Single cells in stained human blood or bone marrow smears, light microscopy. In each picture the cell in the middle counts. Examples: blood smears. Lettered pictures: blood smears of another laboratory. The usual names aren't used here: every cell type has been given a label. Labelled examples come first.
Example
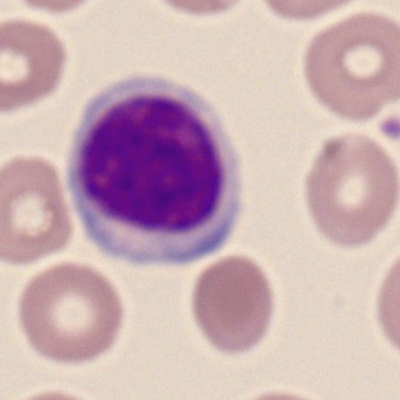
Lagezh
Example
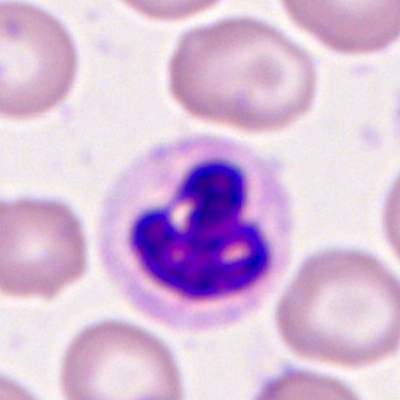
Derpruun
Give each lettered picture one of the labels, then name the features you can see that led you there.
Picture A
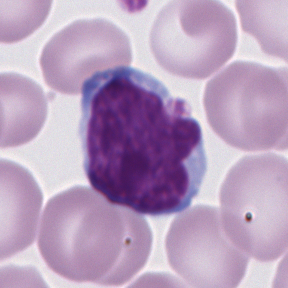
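Lagezh. The cytoplasm forms only a narrow pale blue rim around the nucleus.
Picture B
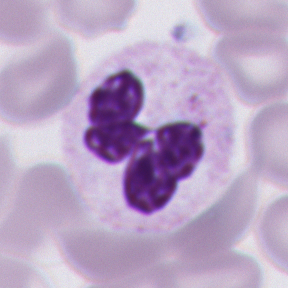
Derpruun. The cytoplasm is abundant and pale pink.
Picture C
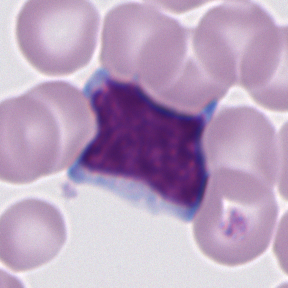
Lagezh. The nucleus fills most of the cell and follows its angular shape.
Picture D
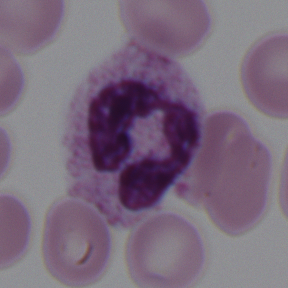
Derpruun. The nucleus is a thick curved band bent into a nearly closed ring around a pale centre.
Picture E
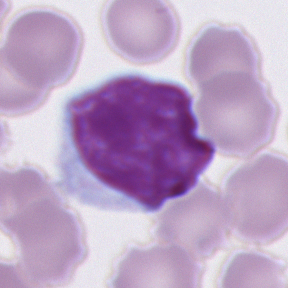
Lagezh. The cytoplasm forms a narrow crescent that is widest at the lower left of the cell.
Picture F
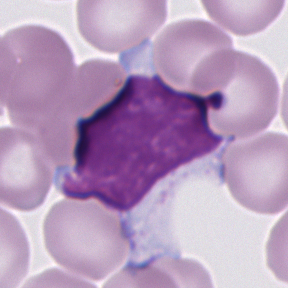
Lagezh. The nucleus fills most of the cell, and most of the cytoplasm lies at its lower right.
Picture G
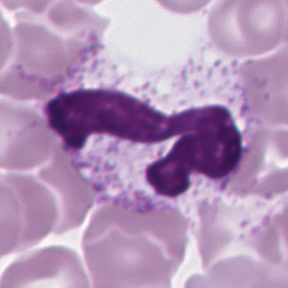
Derpruun. The nucleus is a long band that is bent back on itself at its right end.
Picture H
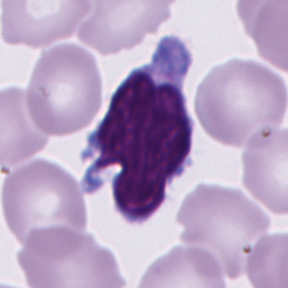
Lagezh. Only a scant rim of pale blue cytoplasm surrounds the nucleus.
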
